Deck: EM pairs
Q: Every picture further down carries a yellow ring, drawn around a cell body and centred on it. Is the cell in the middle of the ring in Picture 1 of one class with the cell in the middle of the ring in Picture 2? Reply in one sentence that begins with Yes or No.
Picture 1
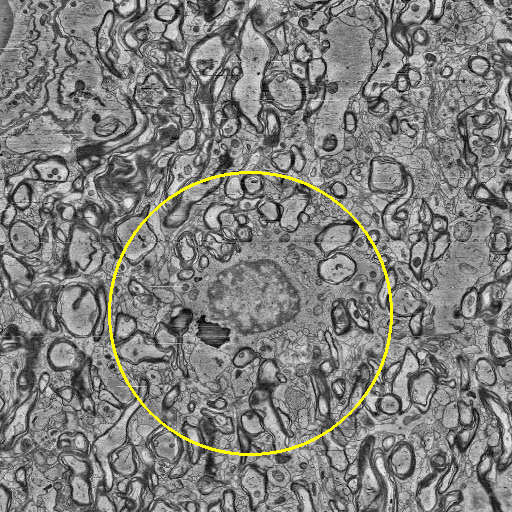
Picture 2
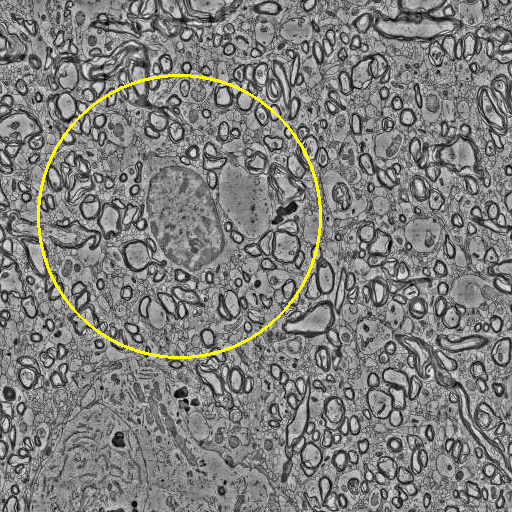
Yes, the cell centred in the ring of Picture 1 and the one in Picture 2 belong to one class.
